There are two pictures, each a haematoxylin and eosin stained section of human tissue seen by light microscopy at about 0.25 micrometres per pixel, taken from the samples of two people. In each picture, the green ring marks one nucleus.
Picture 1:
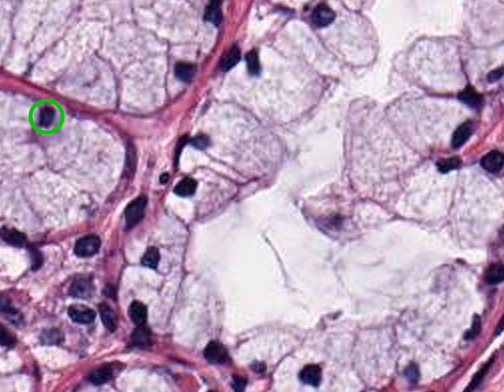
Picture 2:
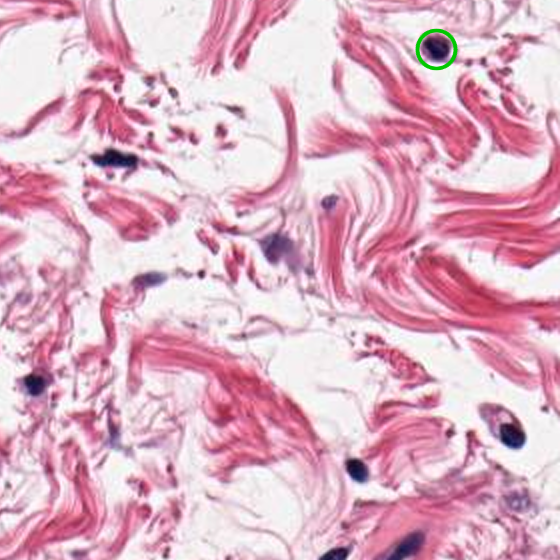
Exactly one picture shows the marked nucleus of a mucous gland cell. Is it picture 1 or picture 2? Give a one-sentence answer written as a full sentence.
The marked nucleus belongs, in picture 1, to a mucous gland cell.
